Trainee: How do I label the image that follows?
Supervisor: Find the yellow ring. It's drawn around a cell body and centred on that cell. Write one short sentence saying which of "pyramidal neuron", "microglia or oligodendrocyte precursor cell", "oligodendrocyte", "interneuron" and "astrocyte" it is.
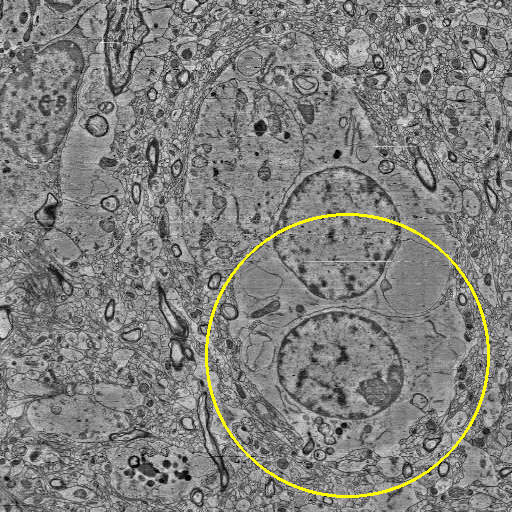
This is the cell body of an astrocyte.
